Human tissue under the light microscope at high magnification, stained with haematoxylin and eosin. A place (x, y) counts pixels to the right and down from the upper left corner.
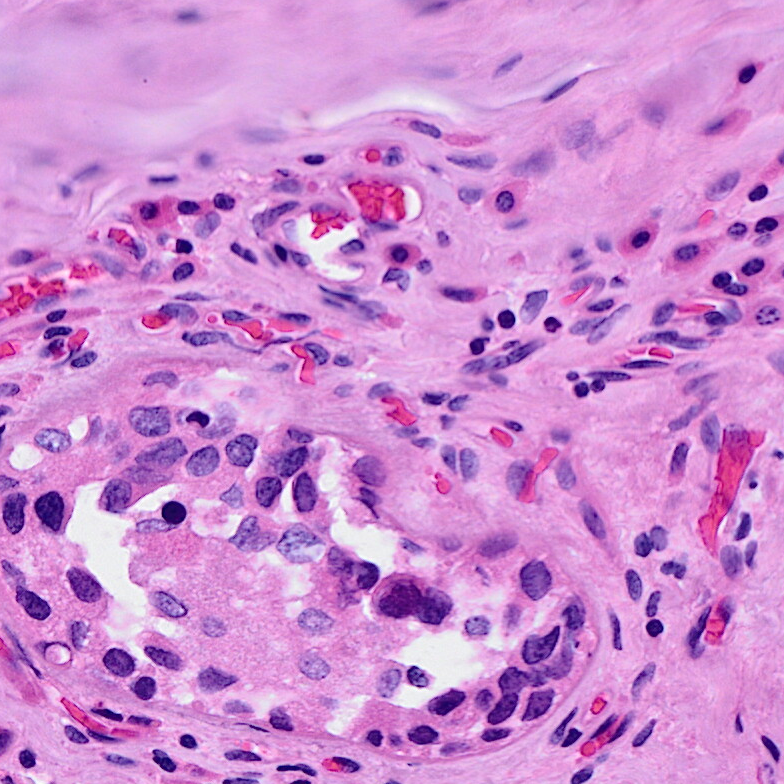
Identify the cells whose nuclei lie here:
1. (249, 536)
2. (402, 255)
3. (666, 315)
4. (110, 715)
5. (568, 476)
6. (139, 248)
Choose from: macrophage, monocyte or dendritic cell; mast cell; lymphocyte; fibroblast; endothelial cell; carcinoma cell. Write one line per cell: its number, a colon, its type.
1: carcinoma cell
2: mast cell
3: endothelial cell
4: endothelial cell
5: endothelial cell
6: endothelial cell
